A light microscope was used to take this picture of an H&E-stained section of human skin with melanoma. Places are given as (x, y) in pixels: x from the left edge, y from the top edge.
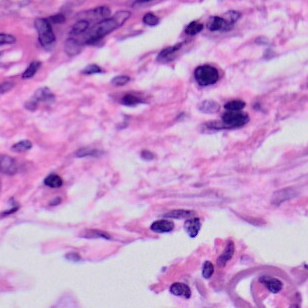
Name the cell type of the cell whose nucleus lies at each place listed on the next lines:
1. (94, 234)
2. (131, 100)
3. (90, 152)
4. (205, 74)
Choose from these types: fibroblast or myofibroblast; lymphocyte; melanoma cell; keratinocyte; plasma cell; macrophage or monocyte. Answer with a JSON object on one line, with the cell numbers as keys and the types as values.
{"1": "fibroblast or myofibroblast", "2": "plasma cell", "3": "fibroblast or myofibroblast", "4": "plasma cell"}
